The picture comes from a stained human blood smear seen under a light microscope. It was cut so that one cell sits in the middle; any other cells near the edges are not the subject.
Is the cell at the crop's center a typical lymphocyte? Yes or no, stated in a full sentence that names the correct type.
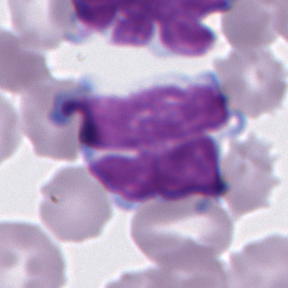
Yes, what sits in the centre of the crop is a typical lymphocyte.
